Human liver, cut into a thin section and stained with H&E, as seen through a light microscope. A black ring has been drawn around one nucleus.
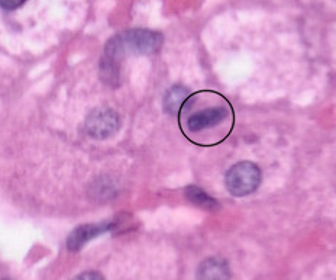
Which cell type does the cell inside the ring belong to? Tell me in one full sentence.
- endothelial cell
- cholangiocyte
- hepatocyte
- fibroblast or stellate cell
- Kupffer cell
As to its cell type, the cell inside the ring is a fibroblast or stellate cell.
